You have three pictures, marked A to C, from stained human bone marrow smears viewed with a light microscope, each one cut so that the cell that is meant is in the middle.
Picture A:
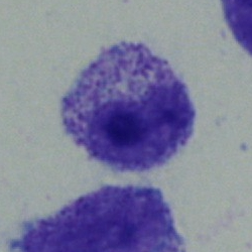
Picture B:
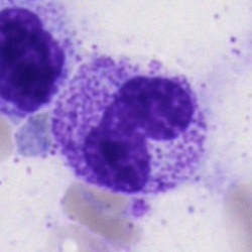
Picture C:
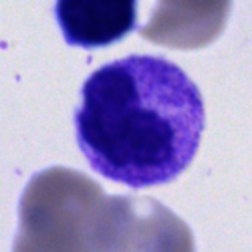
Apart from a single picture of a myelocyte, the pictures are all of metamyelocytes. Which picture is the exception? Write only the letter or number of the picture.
A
